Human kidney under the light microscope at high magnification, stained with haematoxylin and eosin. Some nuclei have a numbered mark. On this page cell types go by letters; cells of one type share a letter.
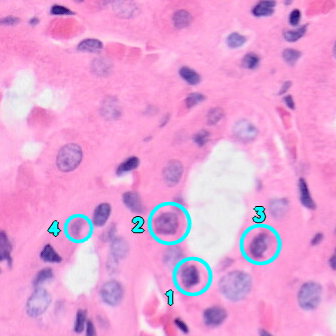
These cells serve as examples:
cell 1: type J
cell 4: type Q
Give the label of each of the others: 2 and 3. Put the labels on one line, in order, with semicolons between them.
type J; type J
